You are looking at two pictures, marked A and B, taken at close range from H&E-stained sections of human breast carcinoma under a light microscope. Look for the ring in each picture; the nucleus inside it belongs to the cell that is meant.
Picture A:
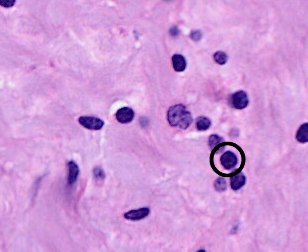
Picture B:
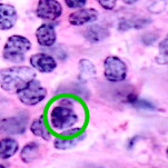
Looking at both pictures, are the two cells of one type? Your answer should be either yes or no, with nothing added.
yes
